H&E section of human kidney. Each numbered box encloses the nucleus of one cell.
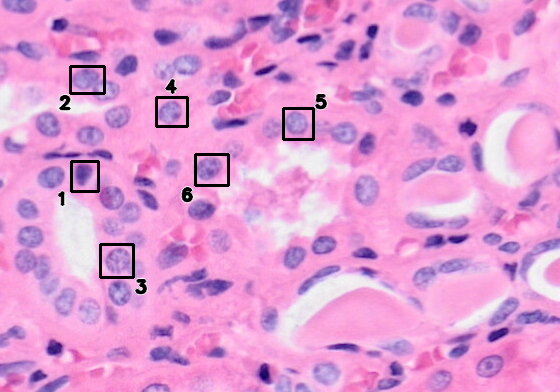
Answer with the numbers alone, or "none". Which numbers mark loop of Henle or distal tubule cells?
2, 4, 5, 6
